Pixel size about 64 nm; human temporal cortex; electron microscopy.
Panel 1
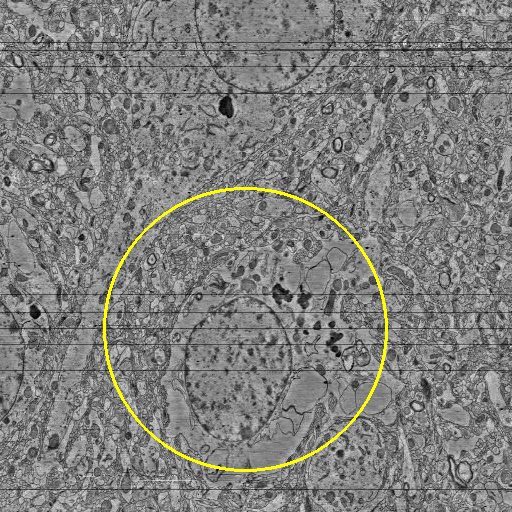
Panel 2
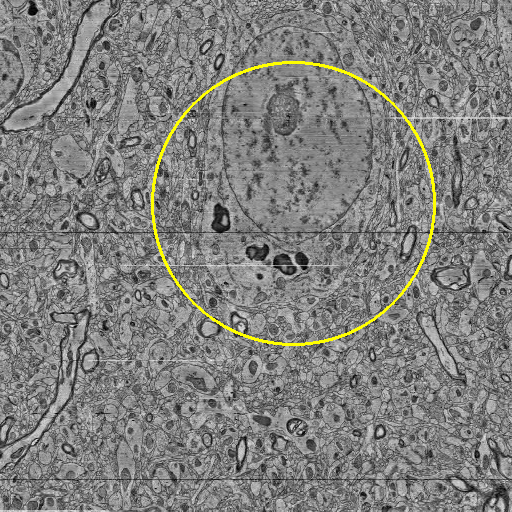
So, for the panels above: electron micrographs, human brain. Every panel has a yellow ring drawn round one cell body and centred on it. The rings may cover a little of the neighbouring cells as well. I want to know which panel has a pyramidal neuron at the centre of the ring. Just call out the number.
2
